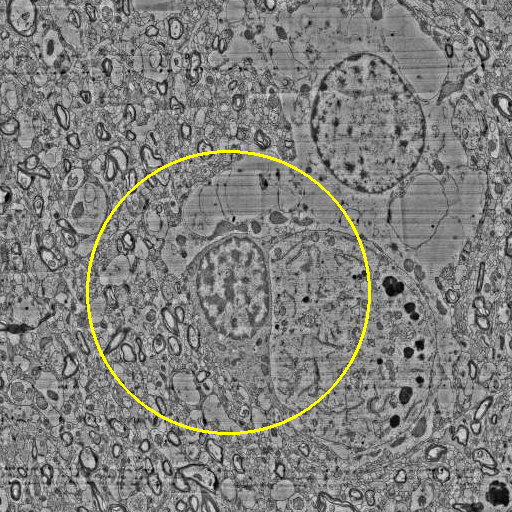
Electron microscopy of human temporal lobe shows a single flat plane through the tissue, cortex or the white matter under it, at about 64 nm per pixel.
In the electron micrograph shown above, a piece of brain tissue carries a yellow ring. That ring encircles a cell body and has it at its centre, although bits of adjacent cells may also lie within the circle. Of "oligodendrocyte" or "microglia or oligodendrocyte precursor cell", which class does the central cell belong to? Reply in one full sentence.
The cell body at the centre of the yellow ring belongs to an oligodendrocyte.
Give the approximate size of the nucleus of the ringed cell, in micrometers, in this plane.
About 6 by 5 micrometers for the nucleus, in this plane.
